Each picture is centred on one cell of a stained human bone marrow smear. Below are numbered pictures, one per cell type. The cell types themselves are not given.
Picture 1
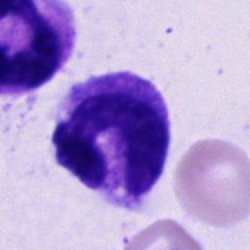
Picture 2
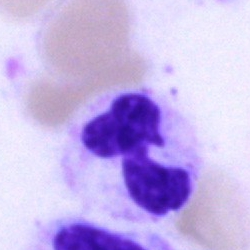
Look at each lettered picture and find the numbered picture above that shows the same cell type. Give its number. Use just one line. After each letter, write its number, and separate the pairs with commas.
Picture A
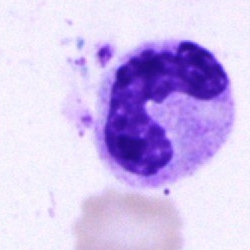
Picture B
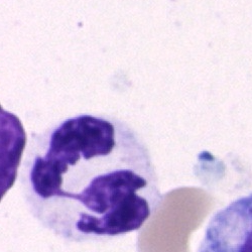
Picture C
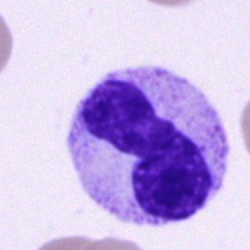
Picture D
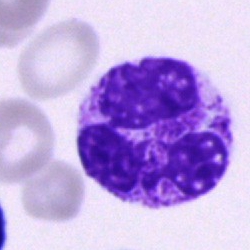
A 1, B 2, C 1, D 2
